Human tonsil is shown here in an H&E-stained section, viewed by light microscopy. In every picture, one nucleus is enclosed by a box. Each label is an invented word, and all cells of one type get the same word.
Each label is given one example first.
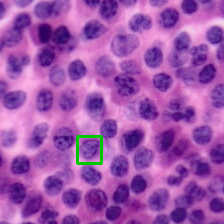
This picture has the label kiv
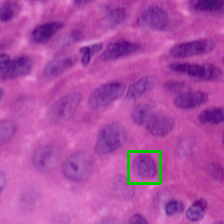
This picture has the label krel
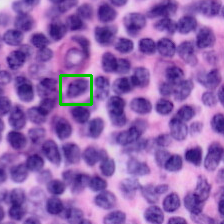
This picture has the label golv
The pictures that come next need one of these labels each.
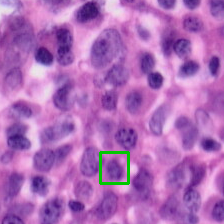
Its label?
kiv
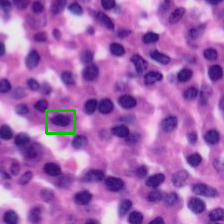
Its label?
kiv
